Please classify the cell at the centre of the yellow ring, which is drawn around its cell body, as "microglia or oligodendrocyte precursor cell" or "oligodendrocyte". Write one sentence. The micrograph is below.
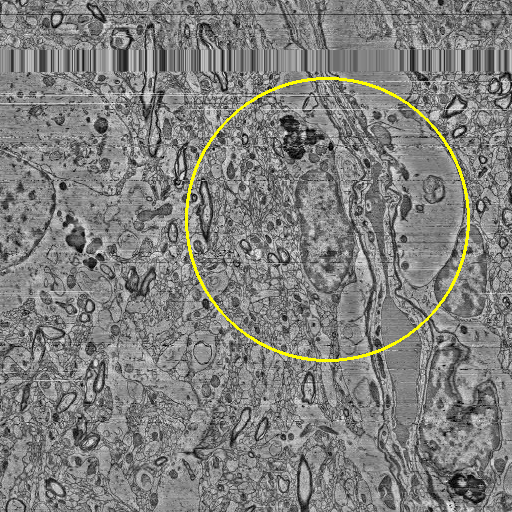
The cell at the ring's centre is classified as an oligodendrocyte.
